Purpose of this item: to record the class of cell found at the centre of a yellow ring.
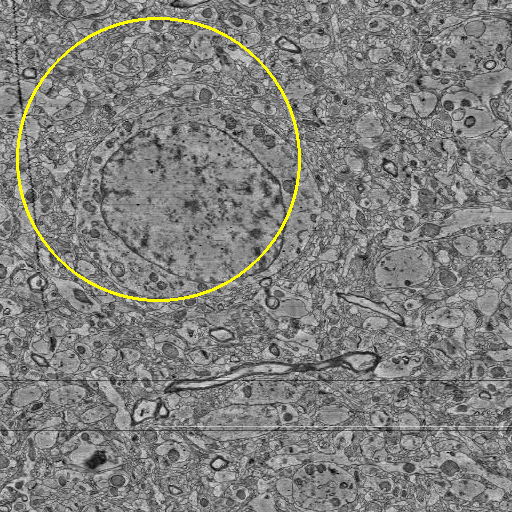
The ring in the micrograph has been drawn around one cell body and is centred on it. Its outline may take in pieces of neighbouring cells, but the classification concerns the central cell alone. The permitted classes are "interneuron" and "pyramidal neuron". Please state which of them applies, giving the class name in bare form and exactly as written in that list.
pyramidal neuron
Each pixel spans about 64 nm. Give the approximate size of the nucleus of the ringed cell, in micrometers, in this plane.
In this plane the nucleus measures roughly 12 by 10 micrometers.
